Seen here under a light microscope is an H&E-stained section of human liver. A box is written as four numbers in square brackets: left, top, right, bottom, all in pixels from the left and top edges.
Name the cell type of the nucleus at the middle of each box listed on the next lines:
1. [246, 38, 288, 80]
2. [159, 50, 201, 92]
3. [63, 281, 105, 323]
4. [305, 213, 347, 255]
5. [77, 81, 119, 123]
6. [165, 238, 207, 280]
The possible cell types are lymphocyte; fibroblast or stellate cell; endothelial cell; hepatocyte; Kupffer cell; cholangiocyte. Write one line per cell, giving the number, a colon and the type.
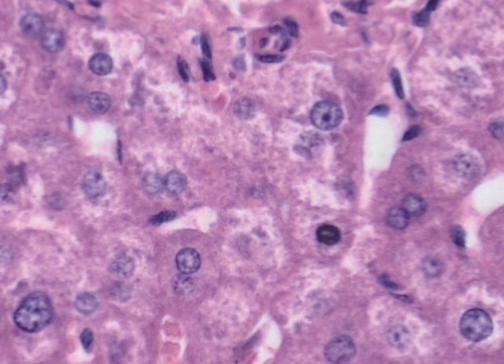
1: fibroblast or stellate cell
2: fibroblast or stellate cell
3: hepatocyte
4: hepatocyte
5: hepatocyte
6: hepatocyte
